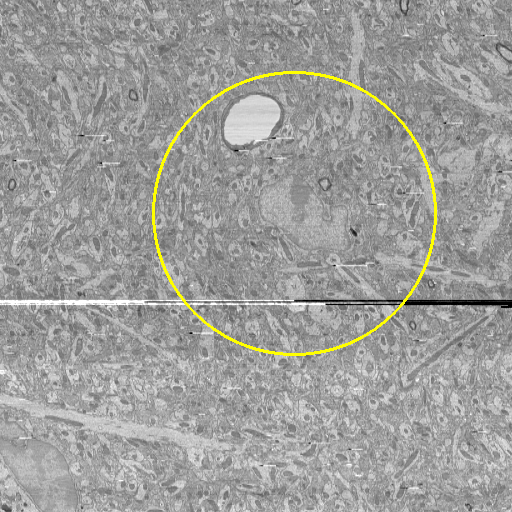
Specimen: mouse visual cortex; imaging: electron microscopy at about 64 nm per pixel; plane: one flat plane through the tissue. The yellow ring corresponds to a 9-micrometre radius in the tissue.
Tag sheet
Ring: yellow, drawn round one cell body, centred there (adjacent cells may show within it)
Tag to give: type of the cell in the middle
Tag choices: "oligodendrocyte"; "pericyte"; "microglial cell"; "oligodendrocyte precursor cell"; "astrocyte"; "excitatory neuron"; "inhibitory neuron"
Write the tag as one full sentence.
I tag the cell centred in the yellow ring as an oligodendrocyte precursor cell in this picture.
